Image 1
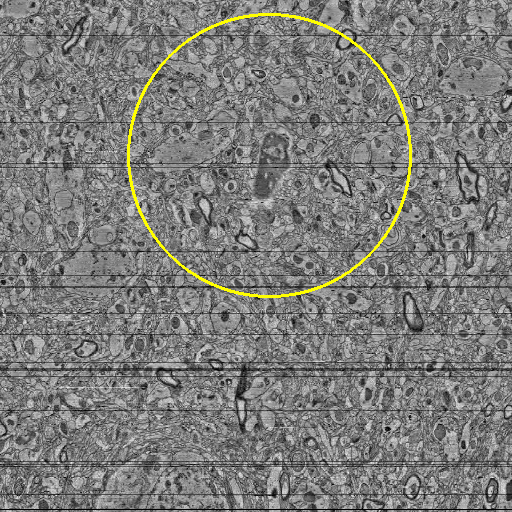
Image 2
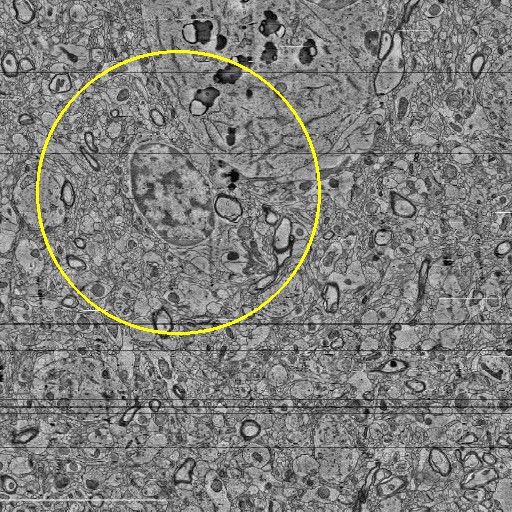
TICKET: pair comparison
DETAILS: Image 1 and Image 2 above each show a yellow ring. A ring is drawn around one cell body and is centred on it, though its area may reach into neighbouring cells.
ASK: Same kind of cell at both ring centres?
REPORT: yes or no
yes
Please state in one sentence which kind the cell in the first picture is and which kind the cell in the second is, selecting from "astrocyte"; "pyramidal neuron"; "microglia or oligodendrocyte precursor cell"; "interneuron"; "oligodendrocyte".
Each of the two pictures has a microglial cell or oligodendrocyte precursor cell at the ring centre.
